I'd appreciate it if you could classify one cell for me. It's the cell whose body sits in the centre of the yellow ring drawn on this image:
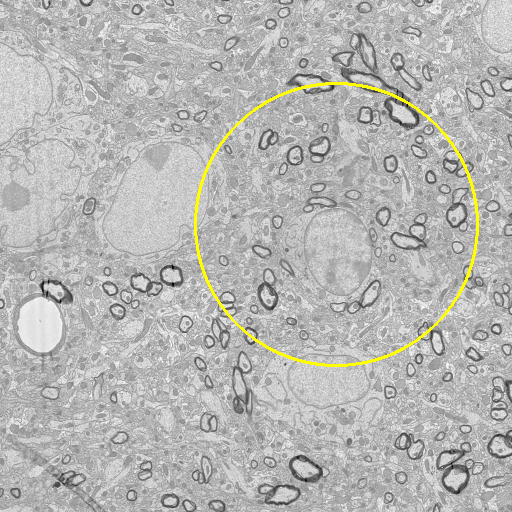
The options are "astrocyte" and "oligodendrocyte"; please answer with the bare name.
oligodendrocyte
